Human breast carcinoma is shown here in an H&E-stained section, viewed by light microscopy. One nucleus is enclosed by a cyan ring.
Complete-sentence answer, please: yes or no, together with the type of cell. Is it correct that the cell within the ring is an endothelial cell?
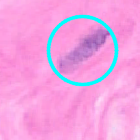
No, the cell within the ring is a fibroblast rather than an endothelial cell.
